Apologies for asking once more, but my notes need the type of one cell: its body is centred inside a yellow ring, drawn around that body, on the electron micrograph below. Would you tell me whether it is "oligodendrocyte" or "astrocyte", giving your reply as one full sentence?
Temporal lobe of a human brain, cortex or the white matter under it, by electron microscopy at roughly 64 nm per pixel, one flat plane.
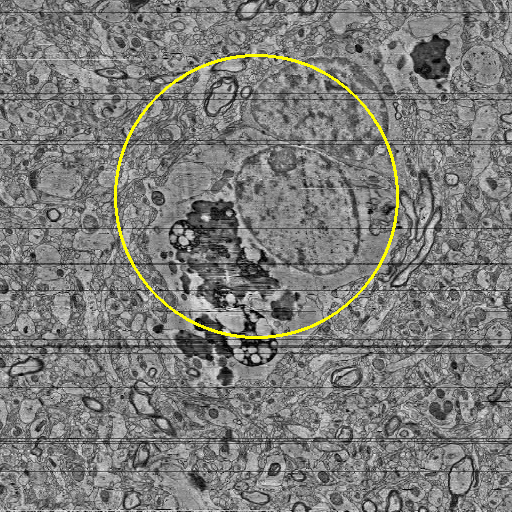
The cell that the yellow ring is centred on is an astrocyte in this micrograph.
